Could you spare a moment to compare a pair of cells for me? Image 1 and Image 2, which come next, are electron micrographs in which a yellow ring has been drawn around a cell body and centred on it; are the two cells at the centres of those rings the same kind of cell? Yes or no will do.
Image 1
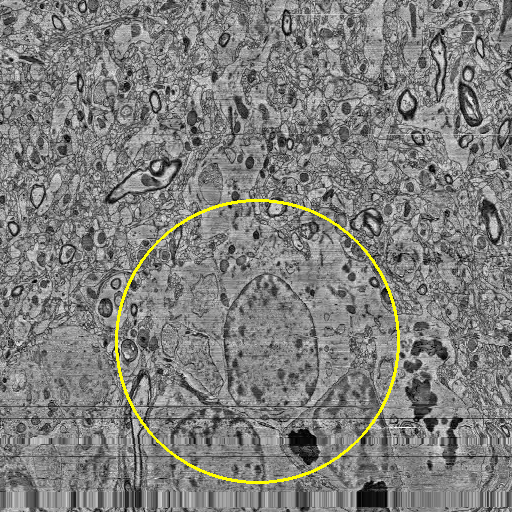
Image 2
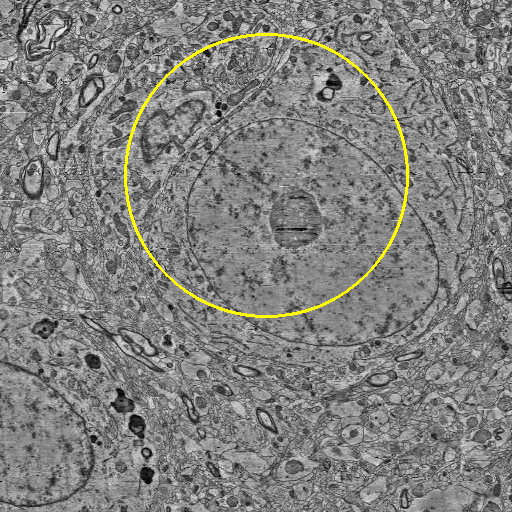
no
